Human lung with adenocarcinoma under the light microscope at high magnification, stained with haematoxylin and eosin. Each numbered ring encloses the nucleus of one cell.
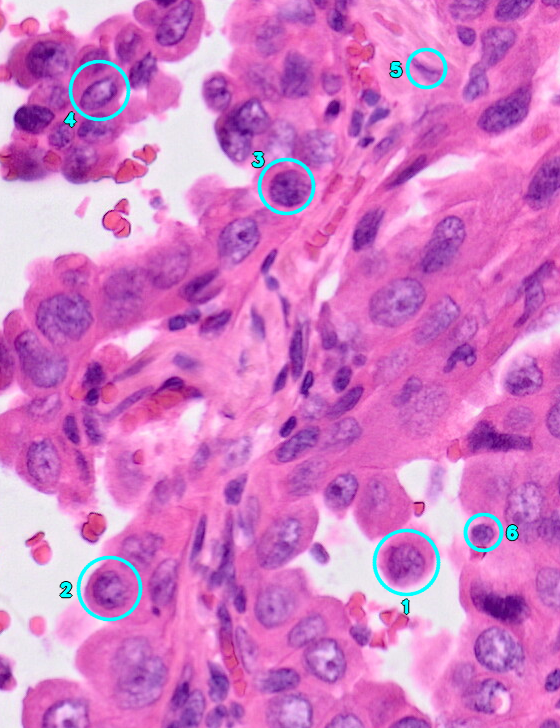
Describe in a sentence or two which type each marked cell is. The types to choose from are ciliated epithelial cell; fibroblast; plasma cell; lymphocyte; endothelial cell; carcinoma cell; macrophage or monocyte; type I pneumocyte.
Cells 1, 2, 3 and 4 are carcinoma cells. Cell 5 is a fibroblast. Cell 6 is a lymphocyte.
